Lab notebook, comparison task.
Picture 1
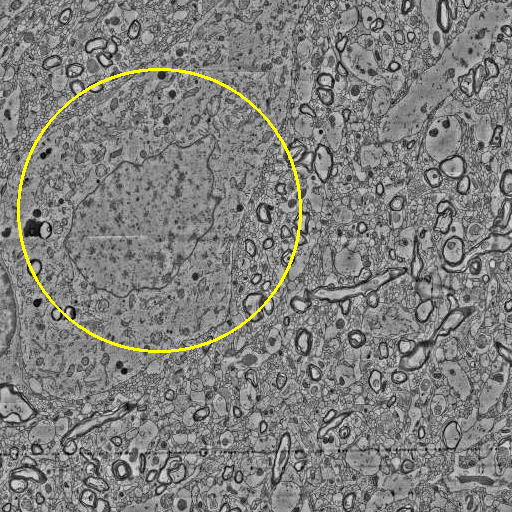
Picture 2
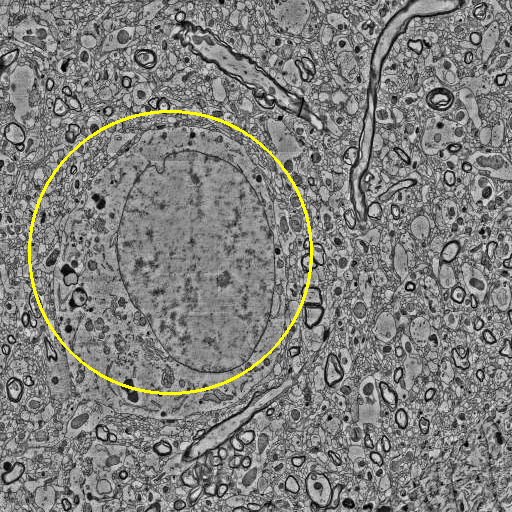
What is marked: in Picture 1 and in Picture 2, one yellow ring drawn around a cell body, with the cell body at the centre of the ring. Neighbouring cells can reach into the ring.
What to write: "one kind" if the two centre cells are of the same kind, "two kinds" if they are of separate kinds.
one kind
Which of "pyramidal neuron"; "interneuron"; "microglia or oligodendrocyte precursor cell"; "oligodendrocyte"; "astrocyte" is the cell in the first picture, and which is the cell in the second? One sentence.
In the first picture and in the second, the ring is centred on a pyramidal neuron.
